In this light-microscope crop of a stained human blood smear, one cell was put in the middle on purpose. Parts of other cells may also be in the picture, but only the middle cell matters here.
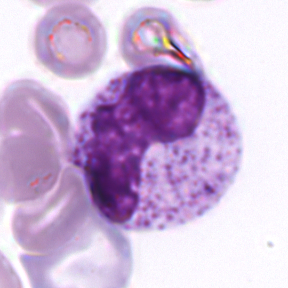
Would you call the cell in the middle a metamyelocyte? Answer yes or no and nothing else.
no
